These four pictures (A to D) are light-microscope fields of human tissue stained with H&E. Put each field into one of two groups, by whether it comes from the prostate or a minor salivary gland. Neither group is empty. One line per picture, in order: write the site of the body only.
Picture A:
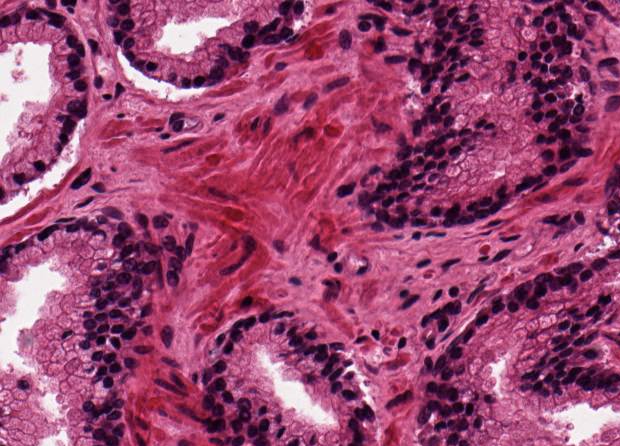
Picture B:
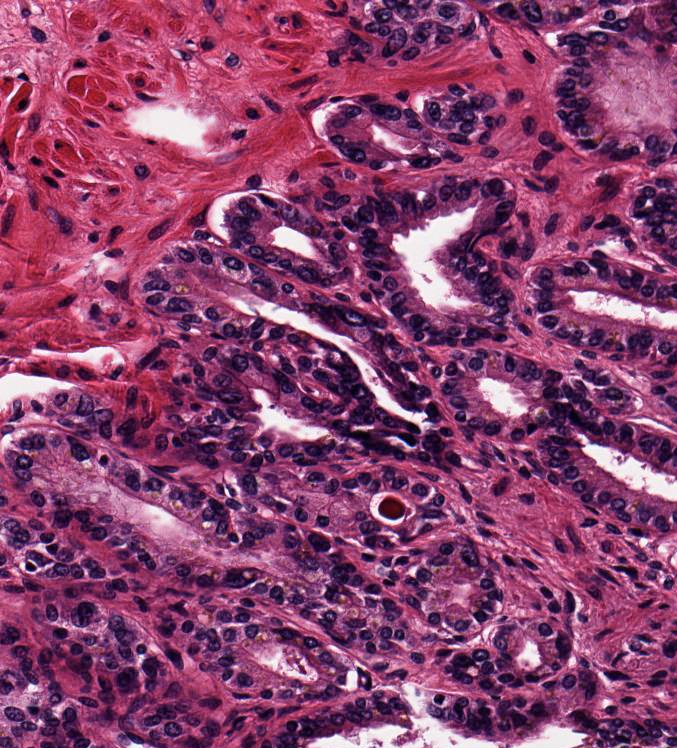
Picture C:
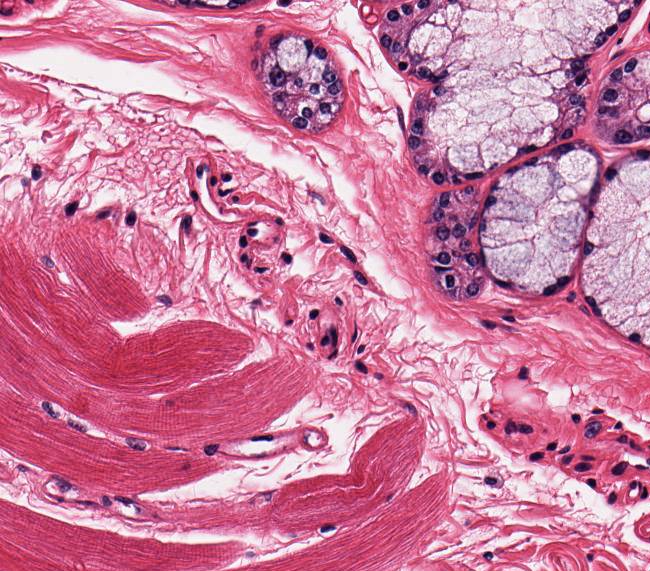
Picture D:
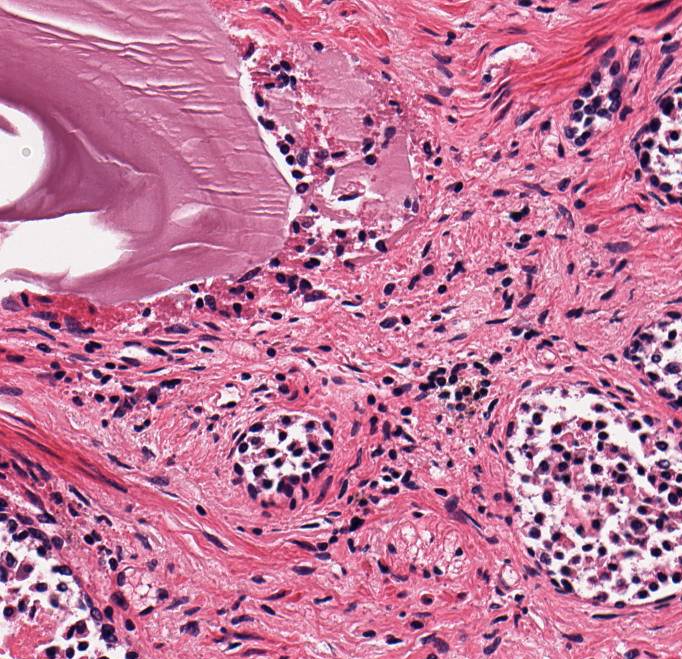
prostate
prostate
minor salivary gland
prostate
